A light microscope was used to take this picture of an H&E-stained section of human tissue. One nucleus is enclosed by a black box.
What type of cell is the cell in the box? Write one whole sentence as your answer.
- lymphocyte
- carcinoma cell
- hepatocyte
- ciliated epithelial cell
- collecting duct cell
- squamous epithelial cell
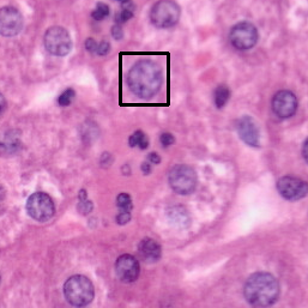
In this field of tissue, the cell in the box is a hepatocyte.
